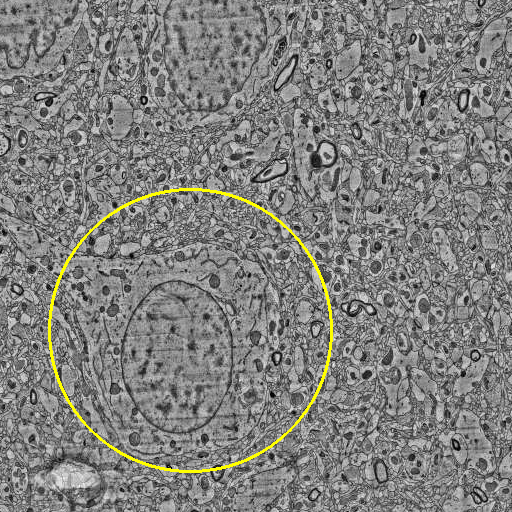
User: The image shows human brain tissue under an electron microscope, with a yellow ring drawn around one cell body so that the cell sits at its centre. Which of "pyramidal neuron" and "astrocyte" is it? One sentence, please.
At the centre of the ring sits a pyramidal neuron.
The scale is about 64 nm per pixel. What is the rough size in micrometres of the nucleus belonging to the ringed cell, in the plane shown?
Roughly 10 by 7 micrometres in this plane, for the nucleus of the ringed cell.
